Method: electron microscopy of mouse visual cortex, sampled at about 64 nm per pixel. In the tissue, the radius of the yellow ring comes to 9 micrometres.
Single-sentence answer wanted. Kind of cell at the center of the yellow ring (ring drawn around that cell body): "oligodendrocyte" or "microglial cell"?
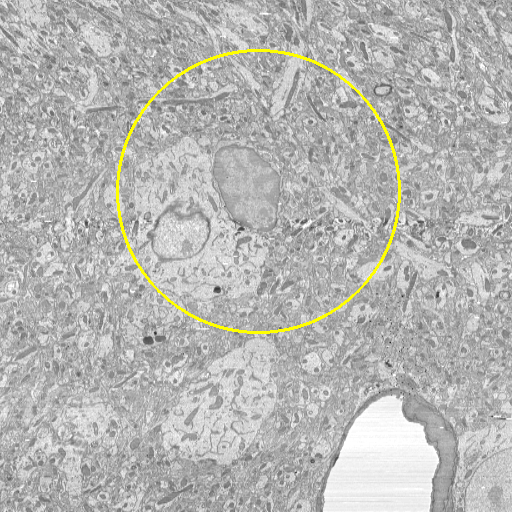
The cell centered in the ring is a microglial cell.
